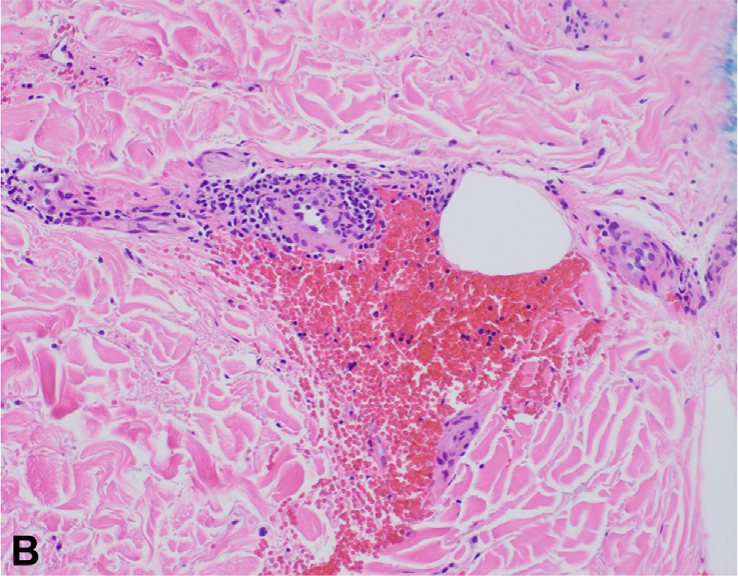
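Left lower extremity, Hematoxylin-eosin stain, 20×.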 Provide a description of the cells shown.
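Dermis with a small vessel infiltrated by mixed inflammatory cells and surrounded by extravasated red blood cells. A cluster of dark, round and irregular nuclei crowds the vessel wall and the tissue around it. Beside the vessel, a large sheet of bright red erythrocytes spreads between thick pink collagen bundles outside the vessel lumen. A clear, empty round space lies next to the hemorrhage. Elsewhere the collagen is coarse and pale pink with few cells.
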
